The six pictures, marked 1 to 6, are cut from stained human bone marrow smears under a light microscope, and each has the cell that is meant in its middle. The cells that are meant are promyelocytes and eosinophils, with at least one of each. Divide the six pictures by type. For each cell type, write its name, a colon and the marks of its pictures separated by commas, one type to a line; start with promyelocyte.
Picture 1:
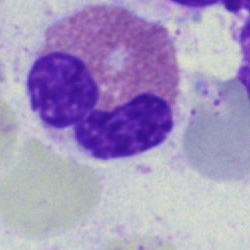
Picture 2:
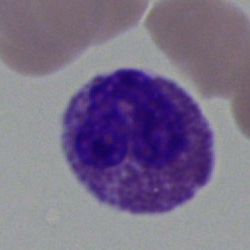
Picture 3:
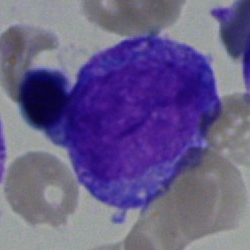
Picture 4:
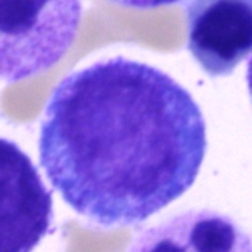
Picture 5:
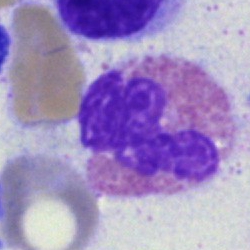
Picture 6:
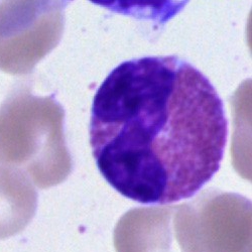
promyelocyte: 3, 4
eosinophil: 1, 2, 5, 6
